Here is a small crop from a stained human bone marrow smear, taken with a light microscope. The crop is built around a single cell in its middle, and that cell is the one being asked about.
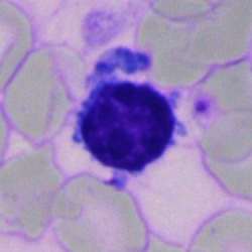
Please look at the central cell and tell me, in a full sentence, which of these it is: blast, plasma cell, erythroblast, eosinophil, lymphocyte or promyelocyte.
By classification, the middle cell of this crop is a lymphocyte.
